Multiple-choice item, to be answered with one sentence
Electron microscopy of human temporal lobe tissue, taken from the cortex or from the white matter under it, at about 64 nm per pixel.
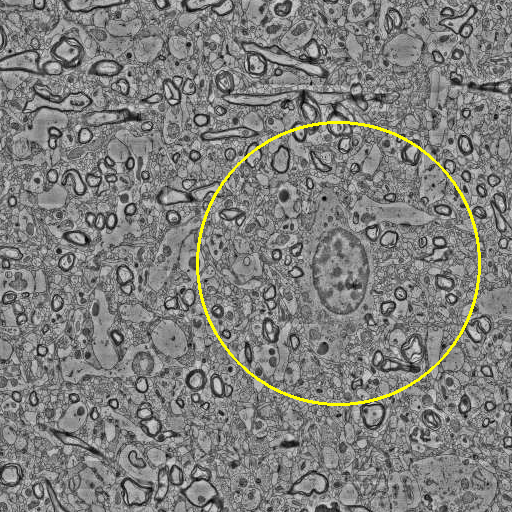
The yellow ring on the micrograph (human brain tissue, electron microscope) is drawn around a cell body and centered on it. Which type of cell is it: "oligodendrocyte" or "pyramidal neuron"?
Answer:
The ring is centered on an oligodendrocyte.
